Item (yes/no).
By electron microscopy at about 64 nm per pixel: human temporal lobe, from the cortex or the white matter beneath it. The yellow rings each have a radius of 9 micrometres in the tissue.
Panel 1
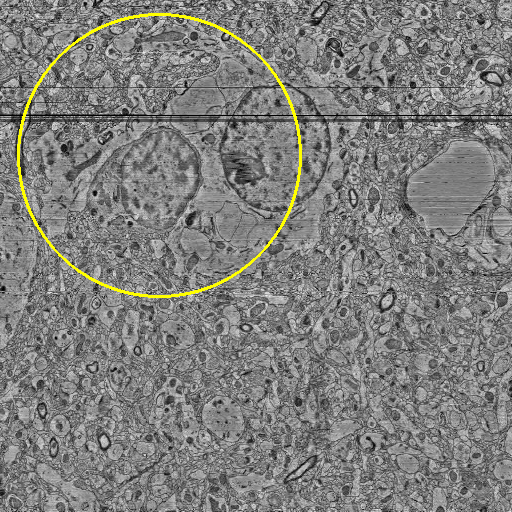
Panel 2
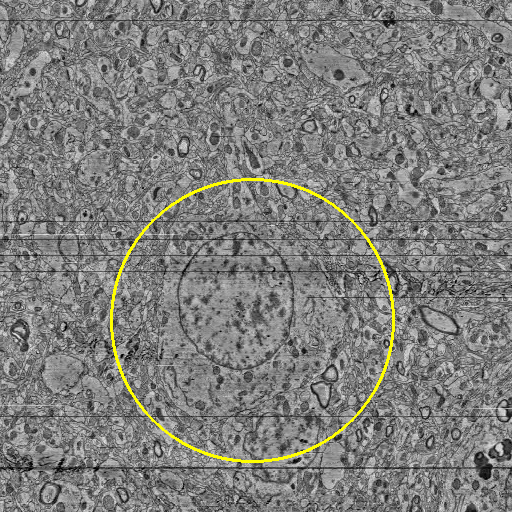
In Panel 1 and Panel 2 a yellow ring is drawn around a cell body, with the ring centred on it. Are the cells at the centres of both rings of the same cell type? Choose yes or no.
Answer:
no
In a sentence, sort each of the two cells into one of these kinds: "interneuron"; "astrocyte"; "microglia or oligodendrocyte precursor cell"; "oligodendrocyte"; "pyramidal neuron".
The first of the two cells is an oligodendrocyte, and the second is a pyramidal neuron.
